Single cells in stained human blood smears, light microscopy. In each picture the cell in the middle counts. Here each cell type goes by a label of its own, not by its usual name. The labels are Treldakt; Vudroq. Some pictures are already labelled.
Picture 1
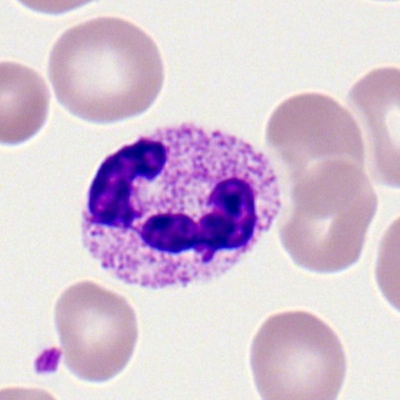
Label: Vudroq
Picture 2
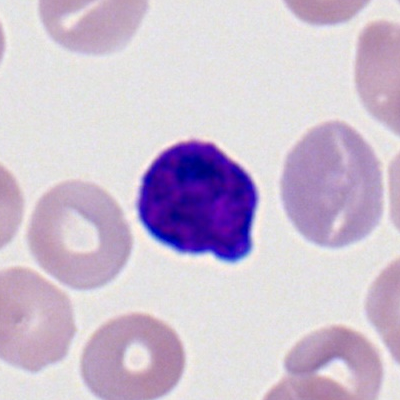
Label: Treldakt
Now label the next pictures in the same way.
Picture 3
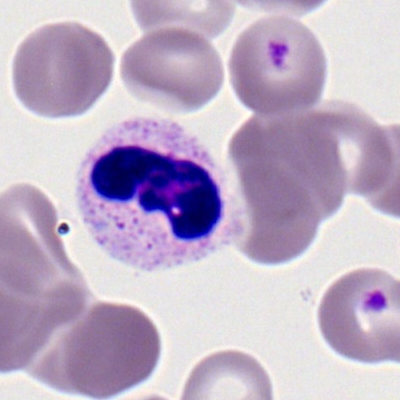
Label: Vudroq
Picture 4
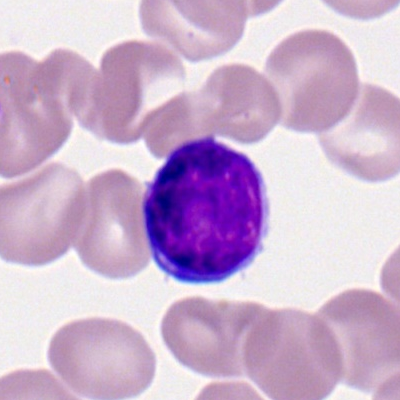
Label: Treldakt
